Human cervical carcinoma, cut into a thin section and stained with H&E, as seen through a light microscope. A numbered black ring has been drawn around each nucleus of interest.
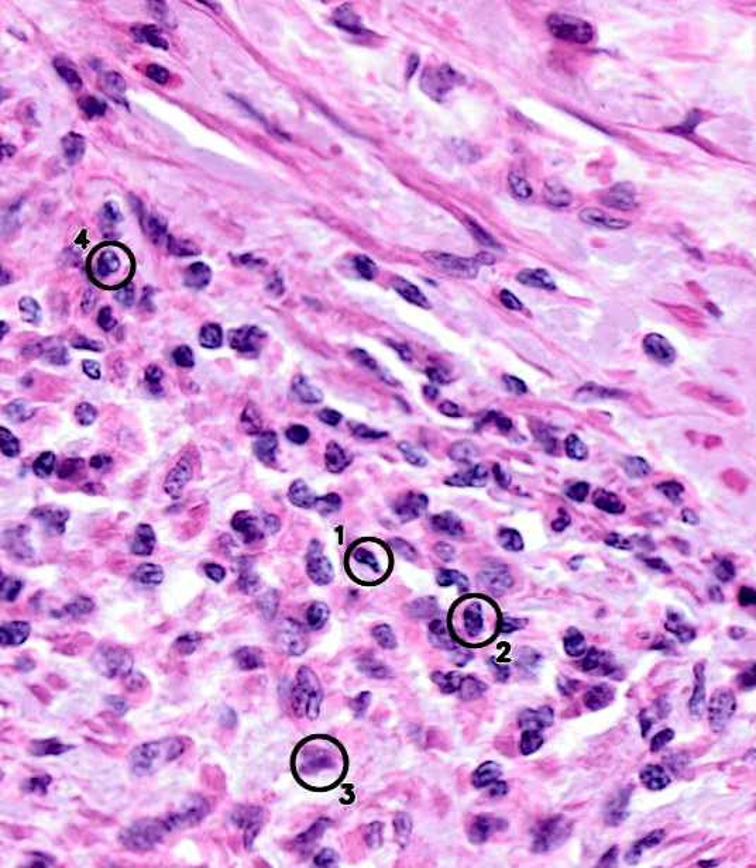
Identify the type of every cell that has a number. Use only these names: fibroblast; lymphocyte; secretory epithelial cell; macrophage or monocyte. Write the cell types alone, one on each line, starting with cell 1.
lymphocyte
lymphocyte
fibroblast
lymphocyte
